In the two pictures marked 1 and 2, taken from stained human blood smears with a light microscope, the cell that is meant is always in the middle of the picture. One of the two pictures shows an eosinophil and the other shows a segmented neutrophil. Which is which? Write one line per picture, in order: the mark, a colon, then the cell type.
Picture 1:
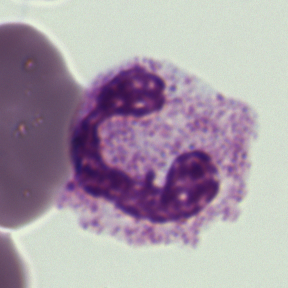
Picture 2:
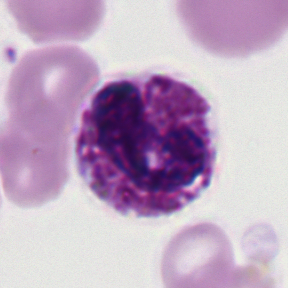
1: segmented neutrophil
2: eosinophil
